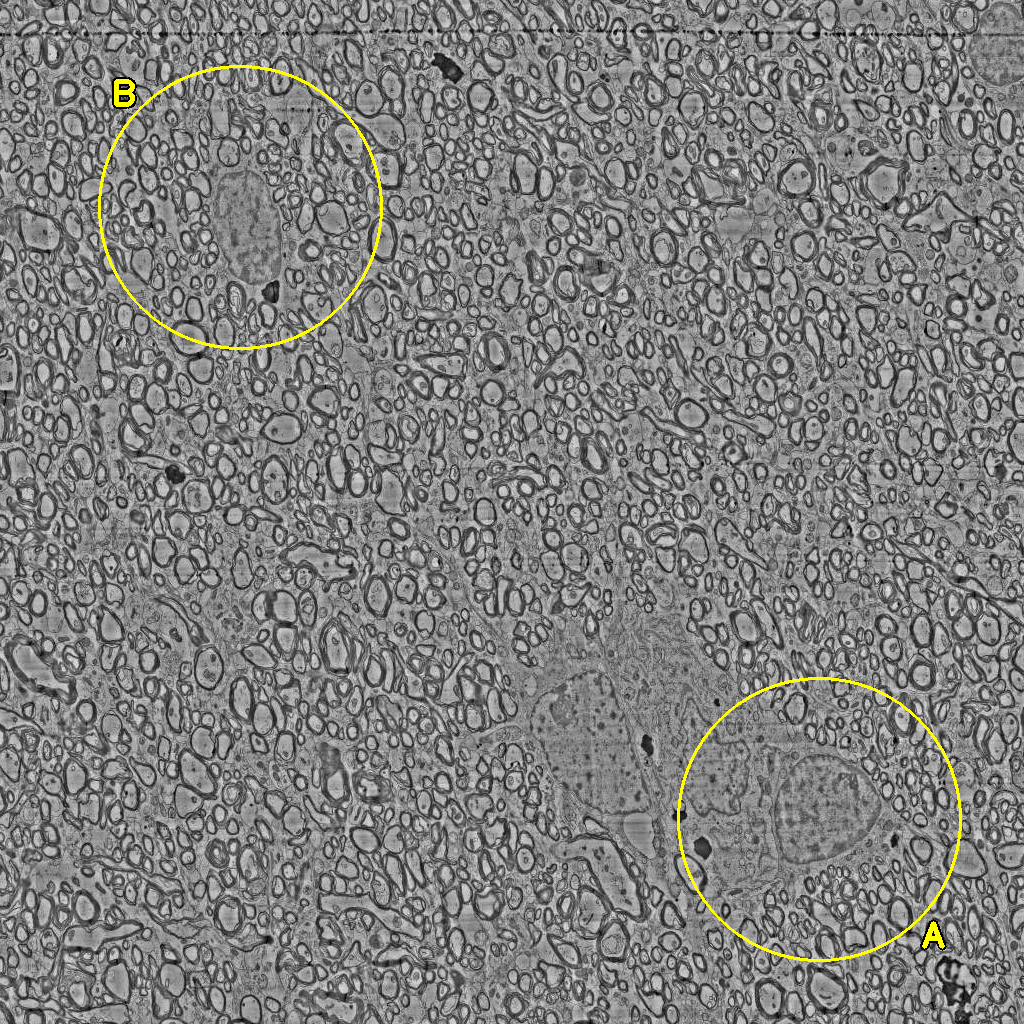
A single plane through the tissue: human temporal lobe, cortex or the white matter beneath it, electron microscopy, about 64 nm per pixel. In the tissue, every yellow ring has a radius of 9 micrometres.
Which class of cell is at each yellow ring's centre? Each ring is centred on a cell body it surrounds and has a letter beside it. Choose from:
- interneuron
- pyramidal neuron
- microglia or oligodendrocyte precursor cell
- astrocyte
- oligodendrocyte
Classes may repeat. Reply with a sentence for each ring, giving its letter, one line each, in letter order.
The ring lettered A is centred on an oligodendrocyte.
The ring lettered B is centred on an oligodendrocyte.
